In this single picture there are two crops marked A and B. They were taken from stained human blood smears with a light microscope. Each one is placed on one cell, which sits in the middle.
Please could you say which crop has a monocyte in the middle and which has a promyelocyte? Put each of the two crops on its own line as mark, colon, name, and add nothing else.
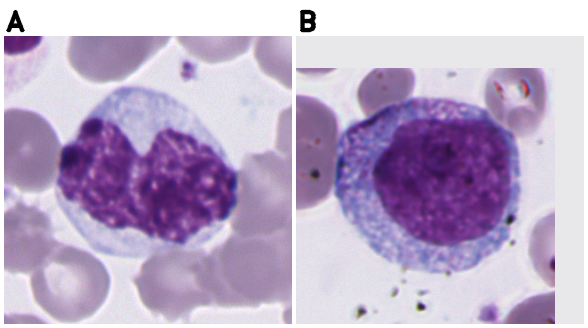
A: monocyte
B: promyelocyte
